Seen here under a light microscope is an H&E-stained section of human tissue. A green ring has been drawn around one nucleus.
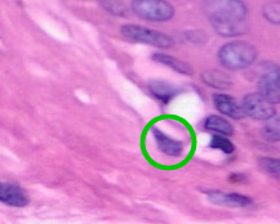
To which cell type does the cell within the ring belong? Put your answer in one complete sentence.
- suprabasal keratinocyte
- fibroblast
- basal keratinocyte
Speaking plainly, the cell within the ring is nothing other than a fibroblast.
